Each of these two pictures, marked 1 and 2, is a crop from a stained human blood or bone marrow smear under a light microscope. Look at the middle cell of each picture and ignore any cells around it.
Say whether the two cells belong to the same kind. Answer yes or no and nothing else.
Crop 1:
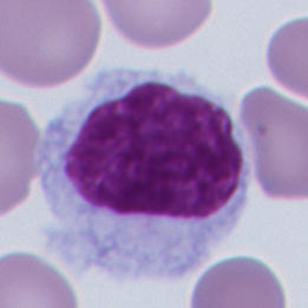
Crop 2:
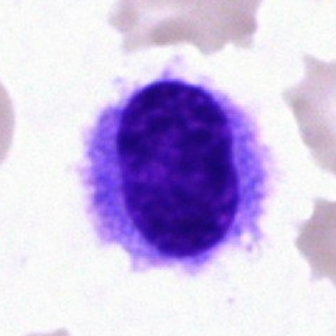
yes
